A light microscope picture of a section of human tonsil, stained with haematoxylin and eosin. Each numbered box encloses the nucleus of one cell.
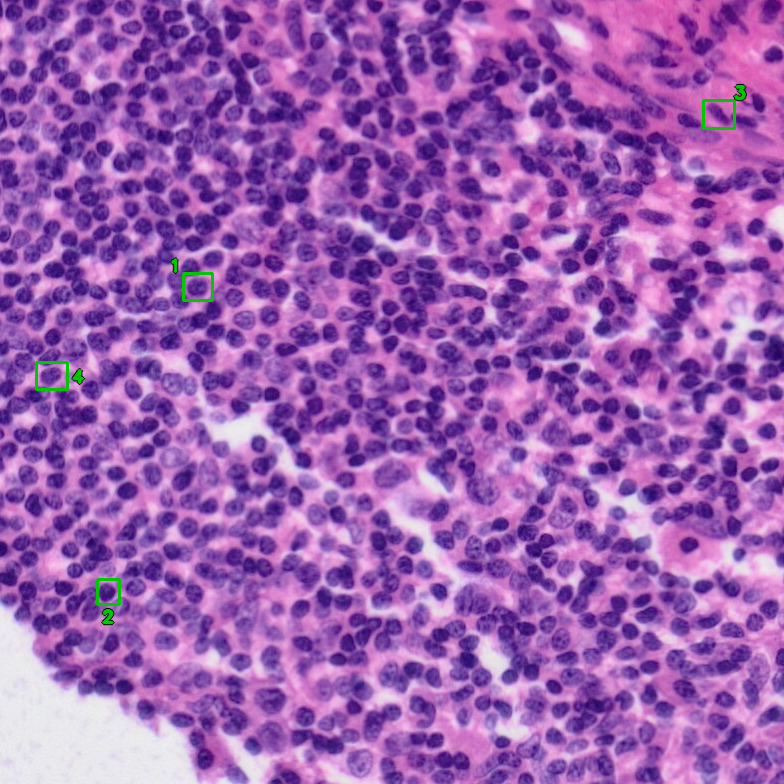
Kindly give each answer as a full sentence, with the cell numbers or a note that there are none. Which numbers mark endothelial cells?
Among the marked cells, cell number 3 alone is an endothelial cell.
